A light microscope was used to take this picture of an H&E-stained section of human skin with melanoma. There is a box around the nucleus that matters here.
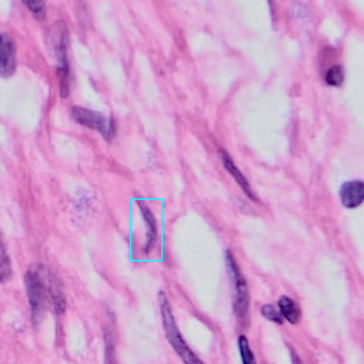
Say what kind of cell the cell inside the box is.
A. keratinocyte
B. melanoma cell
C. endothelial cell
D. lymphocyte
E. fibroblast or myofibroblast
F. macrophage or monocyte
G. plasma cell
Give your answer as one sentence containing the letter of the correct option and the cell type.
On this slide, the cell inside the box is a fibroblast or myofibroblast, so option E is right.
